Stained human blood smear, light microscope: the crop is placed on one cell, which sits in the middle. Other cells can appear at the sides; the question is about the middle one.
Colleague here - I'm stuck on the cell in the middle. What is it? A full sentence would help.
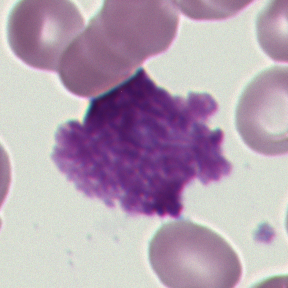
The cell sitting right in the middle is a smudge cell.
